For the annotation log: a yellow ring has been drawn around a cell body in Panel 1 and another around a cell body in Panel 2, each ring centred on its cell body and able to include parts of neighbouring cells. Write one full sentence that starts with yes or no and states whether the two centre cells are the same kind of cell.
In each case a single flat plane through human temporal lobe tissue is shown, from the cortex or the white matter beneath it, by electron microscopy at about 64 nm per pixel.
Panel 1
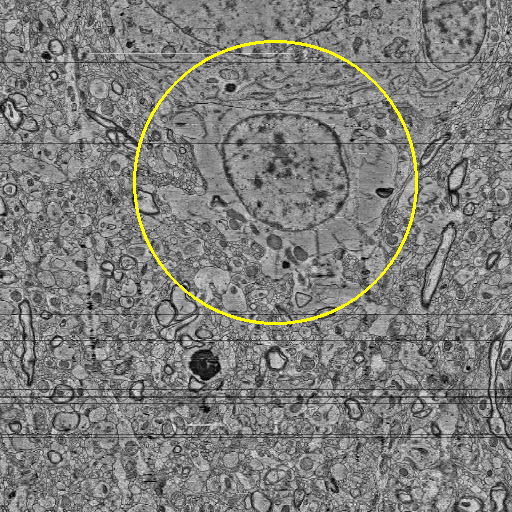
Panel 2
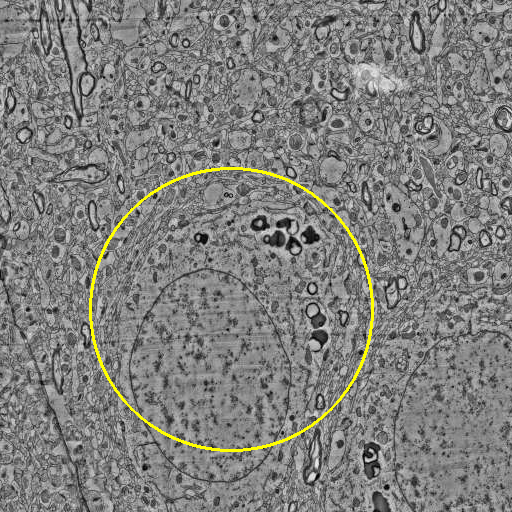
No, the two centre cells are two kinds of cell.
